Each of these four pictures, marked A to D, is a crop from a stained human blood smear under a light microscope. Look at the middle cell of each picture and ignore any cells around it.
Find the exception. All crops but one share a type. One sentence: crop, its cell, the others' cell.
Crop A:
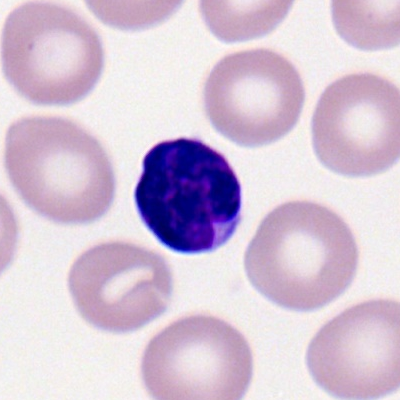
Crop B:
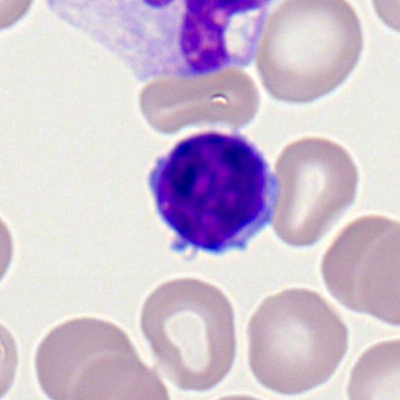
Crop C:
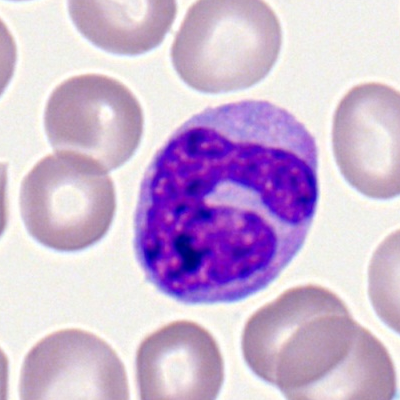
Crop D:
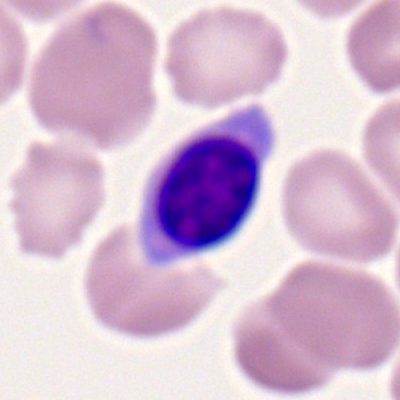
Identified in crop C is a monocyte, whereas the other crops all show lymphocytes.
